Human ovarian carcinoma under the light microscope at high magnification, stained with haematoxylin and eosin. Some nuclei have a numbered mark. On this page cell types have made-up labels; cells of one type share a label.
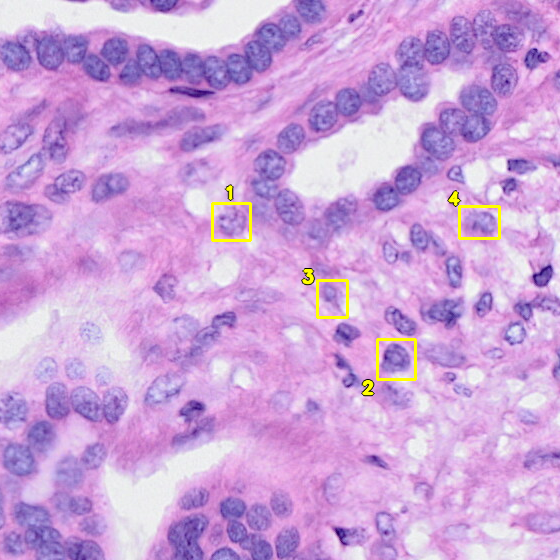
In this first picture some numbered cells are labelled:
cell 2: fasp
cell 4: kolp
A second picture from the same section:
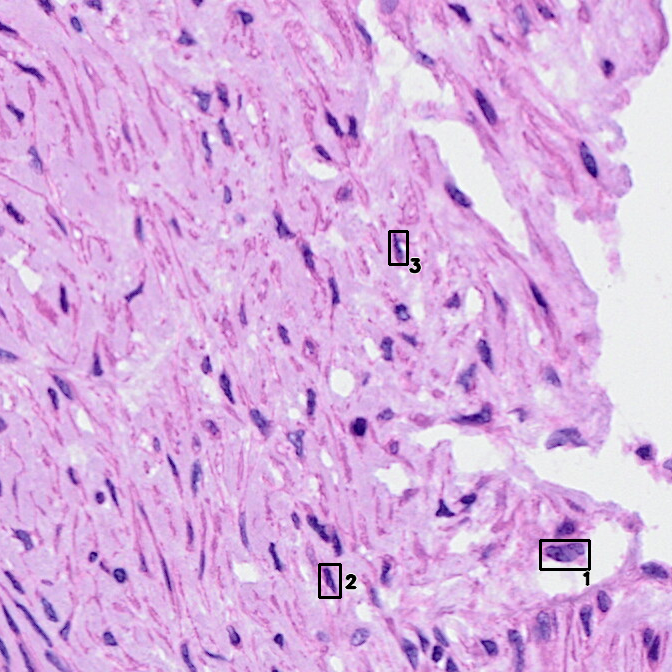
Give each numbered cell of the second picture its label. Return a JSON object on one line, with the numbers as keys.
{"1": "fasp", "2": "kolp", "3": "kolp"}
